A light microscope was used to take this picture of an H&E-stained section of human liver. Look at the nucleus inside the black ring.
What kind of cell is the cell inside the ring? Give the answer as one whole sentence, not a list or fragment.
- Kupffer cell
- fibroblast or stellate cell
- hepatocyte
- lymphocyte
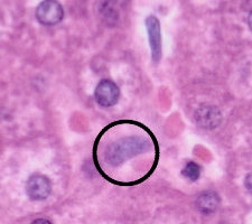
As classified here, the cell inside the ring is a Kupffer cell.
